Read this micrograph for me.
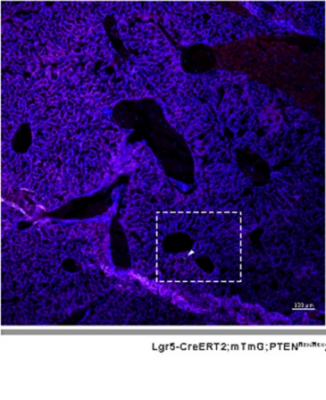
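This is a low-power view of liver, where the parenchyma appears as a dense blue and violet meshwork of hepatocyte cords. Many dark, empty vessel lumina of different sizes and shapes lie scattered through the section, and the cords fan out around them. A dashed box marks a small area near two vessels, within which a white arrowhead points to a single cell.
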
